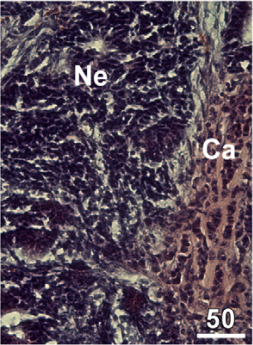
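Most of the field is neural tissue: densely packed cells with small, dark, crowded nuclei and scant cytoplasm. Along the right edge runs a band of cartilage, whose larger cells have more cytoplasm and lie in a paler pinkish-brown matrix. The border between the two tissues is irregular.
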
